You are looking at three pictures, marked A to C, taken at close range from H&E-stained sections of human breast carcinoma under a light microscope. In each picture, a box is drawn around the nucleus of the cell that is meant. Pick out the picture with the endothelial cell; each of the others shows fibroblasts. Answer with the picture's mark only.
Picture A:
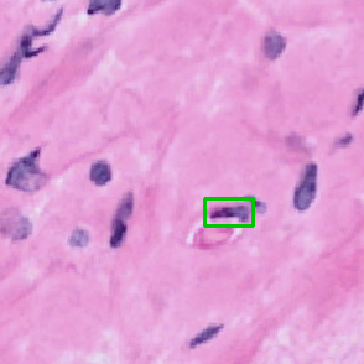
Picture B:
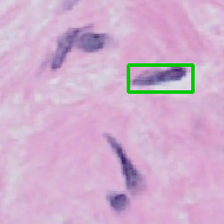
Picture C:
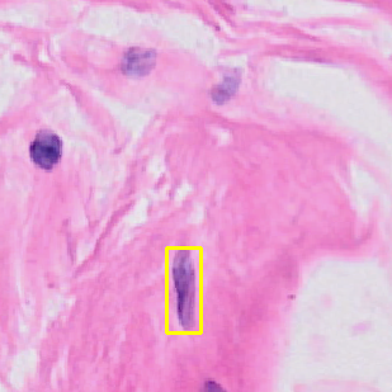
A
